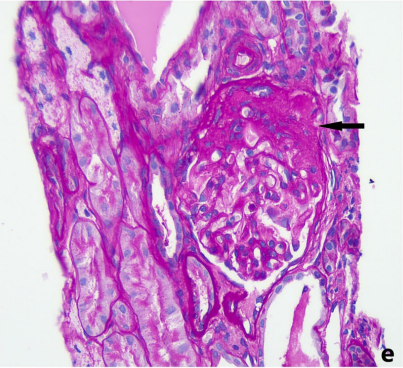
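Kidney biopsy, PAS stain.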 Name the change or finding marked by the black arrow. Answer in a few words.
Segmental sclerosis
